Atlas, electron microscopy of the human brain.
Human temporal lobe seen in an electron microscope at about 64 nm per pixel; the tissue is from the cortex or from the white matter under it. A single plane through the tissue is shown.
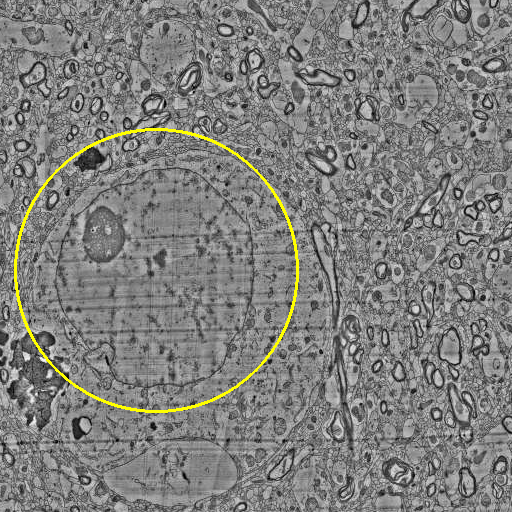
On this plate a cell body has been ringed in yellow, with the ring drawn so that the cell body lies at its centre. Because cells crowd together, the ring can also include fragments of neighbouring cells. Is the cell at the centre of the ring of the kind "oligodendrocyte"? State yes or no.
No, it is of another kind.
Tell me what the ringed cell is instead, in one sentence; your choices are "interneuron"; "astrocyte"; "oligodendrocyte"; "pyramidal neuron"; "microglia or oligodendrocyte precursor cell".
The ring's central cell is a pyramidal neuron instead.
